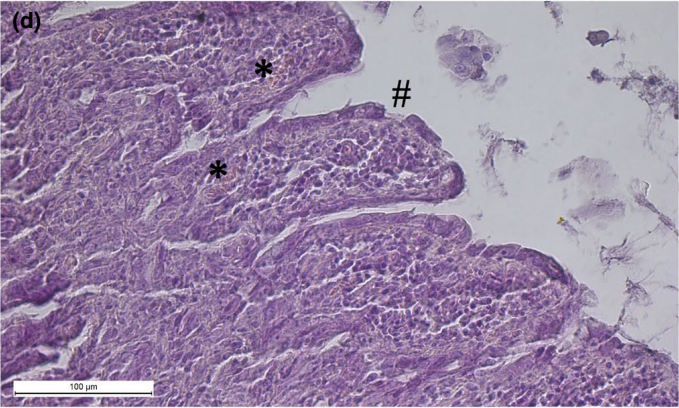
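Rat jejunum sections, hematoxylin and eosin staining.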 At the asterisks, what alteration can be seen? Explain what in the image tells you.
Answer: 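The asterisks lie in villus cores crowded with many small, dark, round nuclei. The cores are densely packed with cells rather than loose connective tissue.
Hence: Infiltration areas.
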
